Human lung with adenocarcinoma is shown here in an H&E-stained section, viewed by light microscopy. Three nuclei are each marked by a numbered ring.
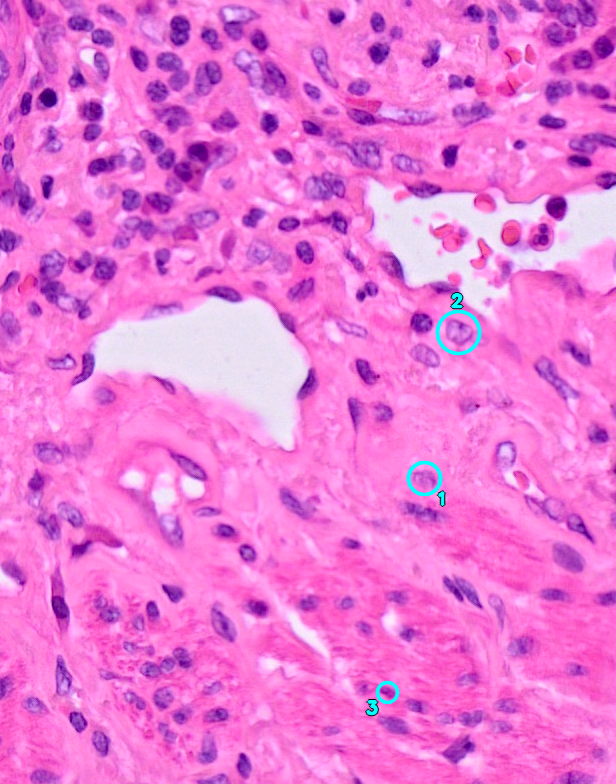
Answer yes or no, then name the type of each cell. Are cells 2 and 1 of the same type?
Yes, both of the cells numbered 2 and 1 are fibroblasts.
